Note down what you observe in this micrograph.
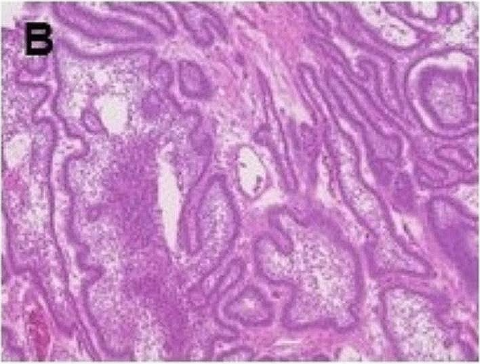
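This is a plexiform ameloblastoma, in which the odontogenic epithelium forms long, thin strands rather than separate islands. The strands, edged by darker cells, branch and join one another to make a network across the field. Between the strands lies pale, loose tissue with scattered cells. In places the strands curve around rounded spaces of this loose tissue. A little denser pink stroma is seen toward one side.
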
